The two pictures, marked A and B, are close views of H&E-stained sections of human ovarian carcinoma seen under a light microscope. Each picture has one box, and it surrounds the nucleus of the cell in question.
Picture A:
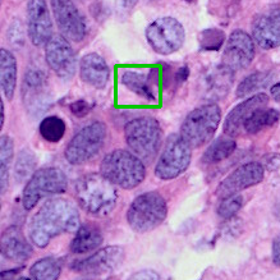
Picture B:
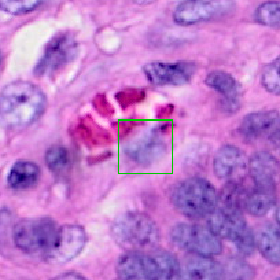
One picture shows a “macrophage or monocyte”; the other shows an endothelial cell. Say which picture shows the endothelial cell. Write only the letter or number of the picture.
B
